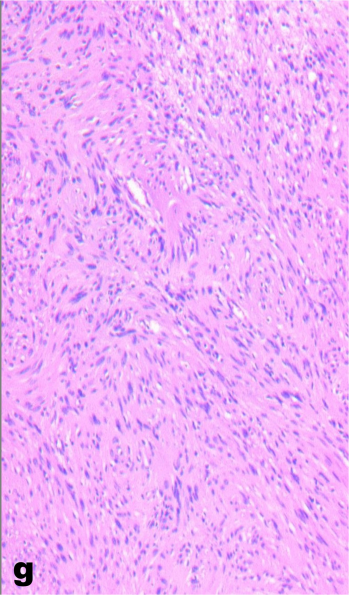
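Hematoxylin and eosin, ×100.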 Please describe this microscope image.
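This section shows a spindle-cell tumor made up of densely packed elongated tumor cells. The nuclei are slender, dark purple and tapered at both ends, some slightly wavy, and lie within a pale pink, fibrillary cytoplasm and stroma whose cell borders are indistinct. The cells are gathered into bundles that run in different directions and interweave, giving a woven look. Between the bundles small pale clefts and spaces open up, and a few thin-walled vessels can be made out. No glands or surface lining are present in the field; the whole view is taken up by the spindle-cell proliferation.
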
